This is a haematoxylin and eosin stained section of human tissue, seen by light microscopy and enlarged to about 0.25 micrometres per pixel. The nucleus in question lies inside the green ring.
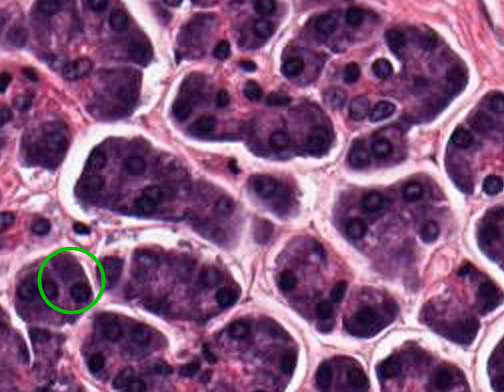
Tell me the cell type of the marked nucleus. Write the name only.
pancreatic acinar cell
